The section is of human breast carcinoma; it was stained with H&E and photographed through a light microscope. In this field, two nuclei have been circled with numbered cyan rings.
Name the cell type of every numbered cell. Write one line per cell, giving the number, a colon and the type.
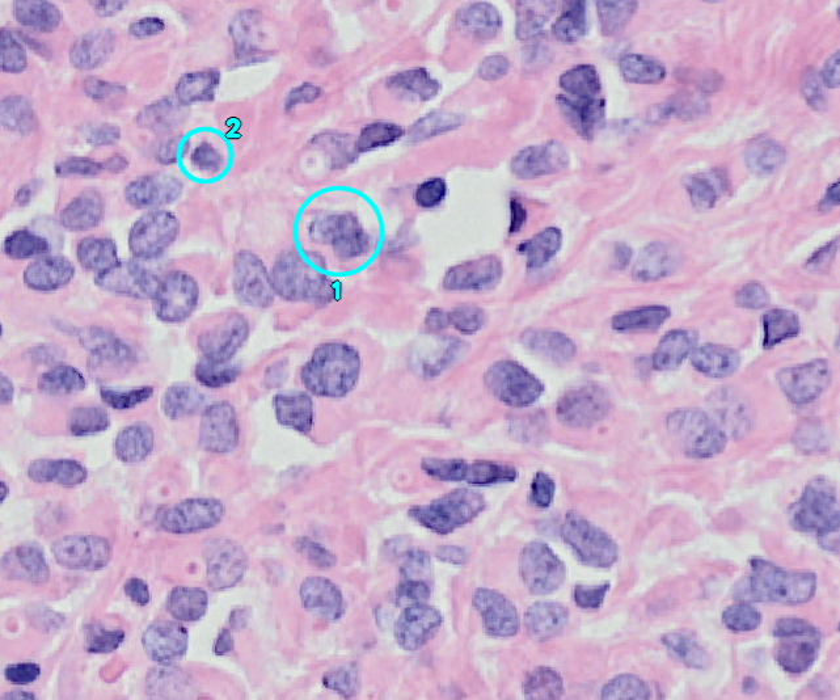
1: carcinoma cell
2: lymphocyte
